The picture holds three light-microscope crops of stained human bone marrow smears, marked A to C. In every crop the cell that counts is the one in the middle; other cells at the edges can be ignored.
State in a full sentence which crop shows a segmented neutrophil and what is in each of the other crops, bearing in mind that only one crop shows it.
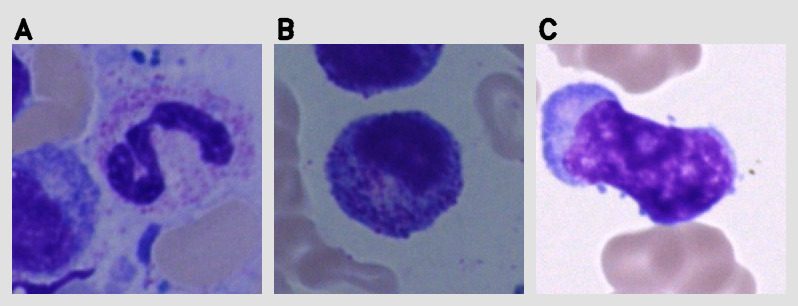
The middle of crop A holds a segmented neutrophil, while crop B is a myelocyte and crop C is a blast.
